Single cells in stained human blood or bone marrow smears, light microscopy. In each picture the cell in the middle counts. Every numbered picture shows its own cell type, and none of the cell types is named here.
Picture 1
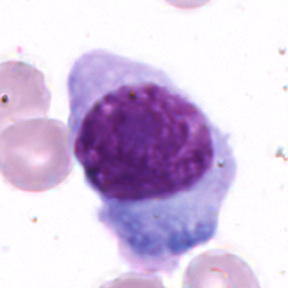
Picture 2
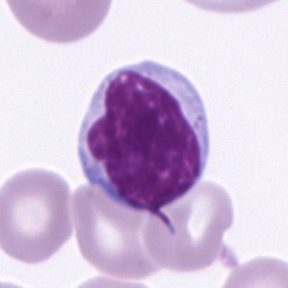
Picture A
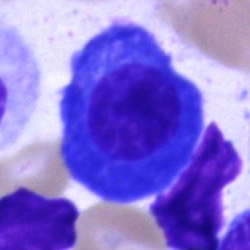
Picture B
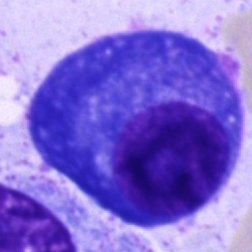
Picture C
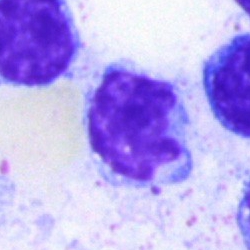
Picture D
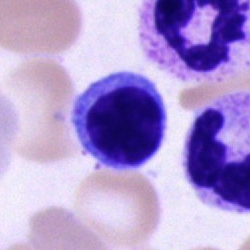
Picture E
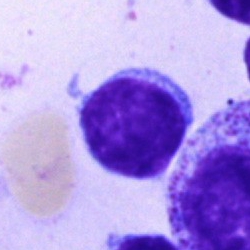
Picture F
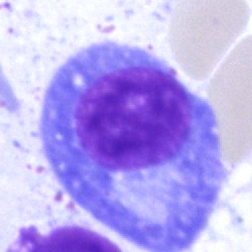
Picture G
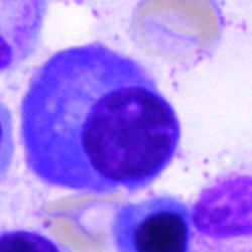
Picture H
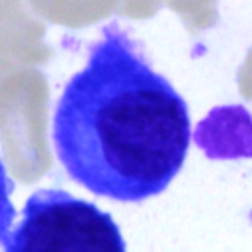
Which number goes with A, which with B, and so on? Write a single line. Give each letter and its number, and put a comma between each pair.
A 1, B 1, C 2, D 2, E 2, F 1, G 1, H 1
